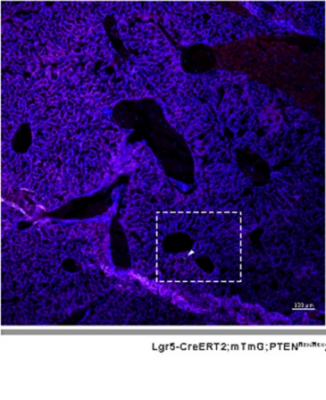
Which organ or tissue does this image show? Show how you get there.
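Cells are arranged in branching, anastomosing cords across the whole section. Many round and oval empty lumina of vessels are scattered through the tissue. The tissue is solid, without glands, follicles or layers.
Liver.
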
